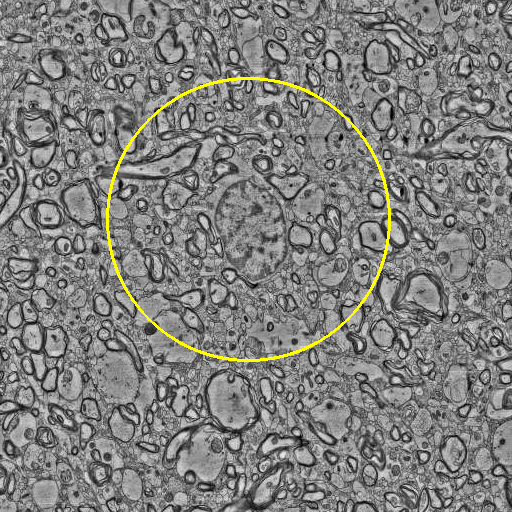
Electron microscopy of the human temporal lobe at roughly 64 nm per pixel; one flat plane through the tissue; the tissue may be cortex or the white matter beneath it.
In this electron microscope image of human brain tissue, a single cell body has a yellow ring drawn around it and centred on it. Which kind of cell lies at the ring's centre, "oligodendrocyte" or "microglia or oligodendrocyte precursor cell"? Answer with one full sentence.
It is an oligodendrocyte whose cell body lies at the centre of the yellow ring here.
